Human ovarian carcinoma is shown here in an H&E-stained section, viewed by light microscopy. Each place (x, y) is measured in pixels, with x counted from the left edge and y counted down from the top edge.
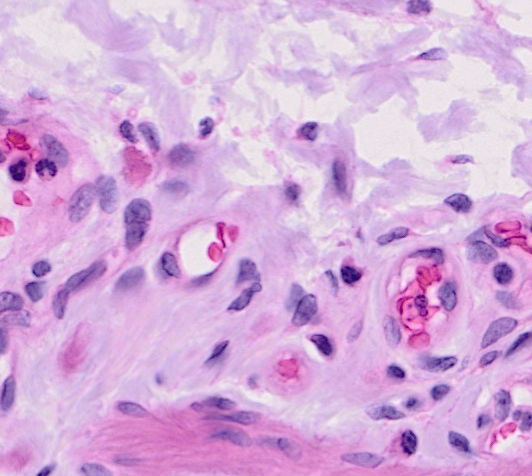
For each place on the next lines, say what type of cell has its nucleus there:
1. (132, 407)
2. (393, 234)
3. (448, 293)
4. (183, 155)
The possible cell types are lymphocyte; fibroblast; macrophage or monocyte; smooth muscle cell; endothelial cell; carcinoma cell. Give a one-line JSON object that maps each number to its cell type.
{"1": "smooth muscle cell", "2": "fibroblast", "3": "endothelial cell", "4": "fibroblast"}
